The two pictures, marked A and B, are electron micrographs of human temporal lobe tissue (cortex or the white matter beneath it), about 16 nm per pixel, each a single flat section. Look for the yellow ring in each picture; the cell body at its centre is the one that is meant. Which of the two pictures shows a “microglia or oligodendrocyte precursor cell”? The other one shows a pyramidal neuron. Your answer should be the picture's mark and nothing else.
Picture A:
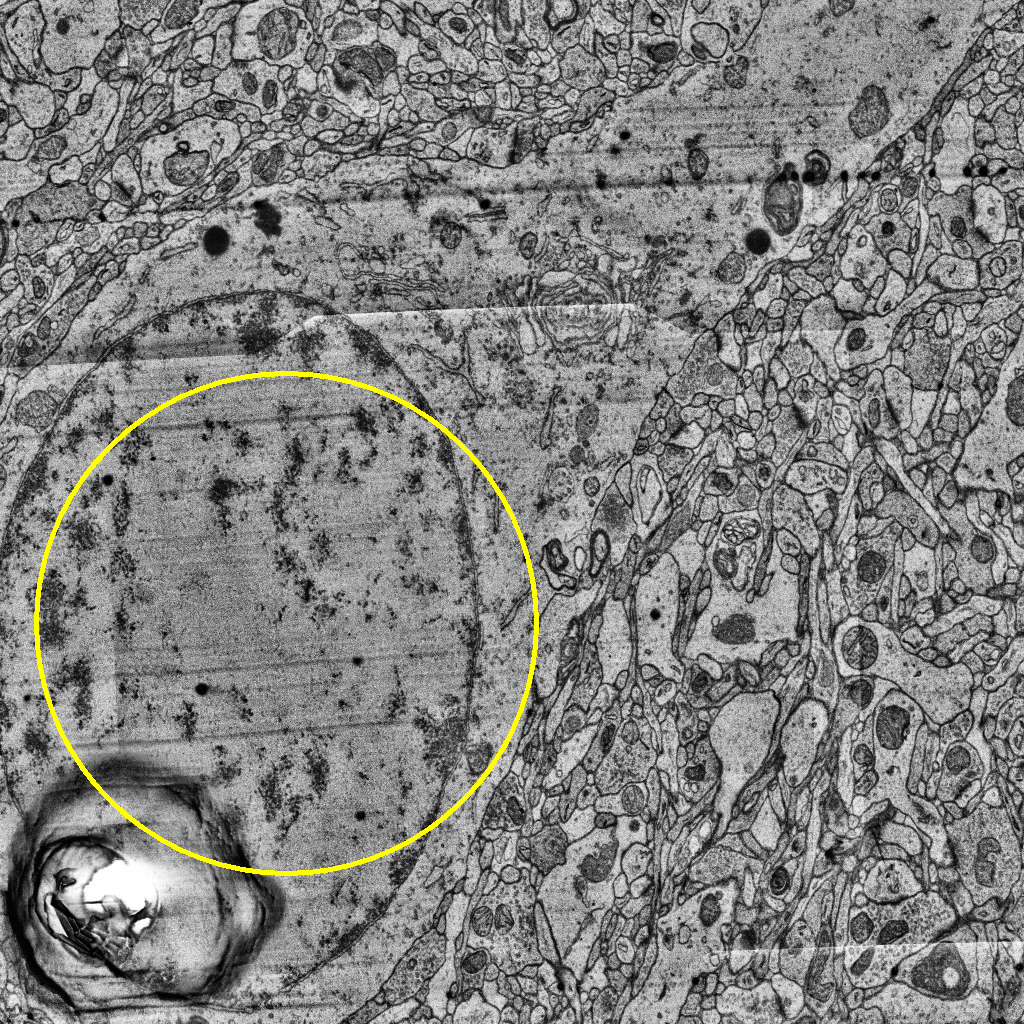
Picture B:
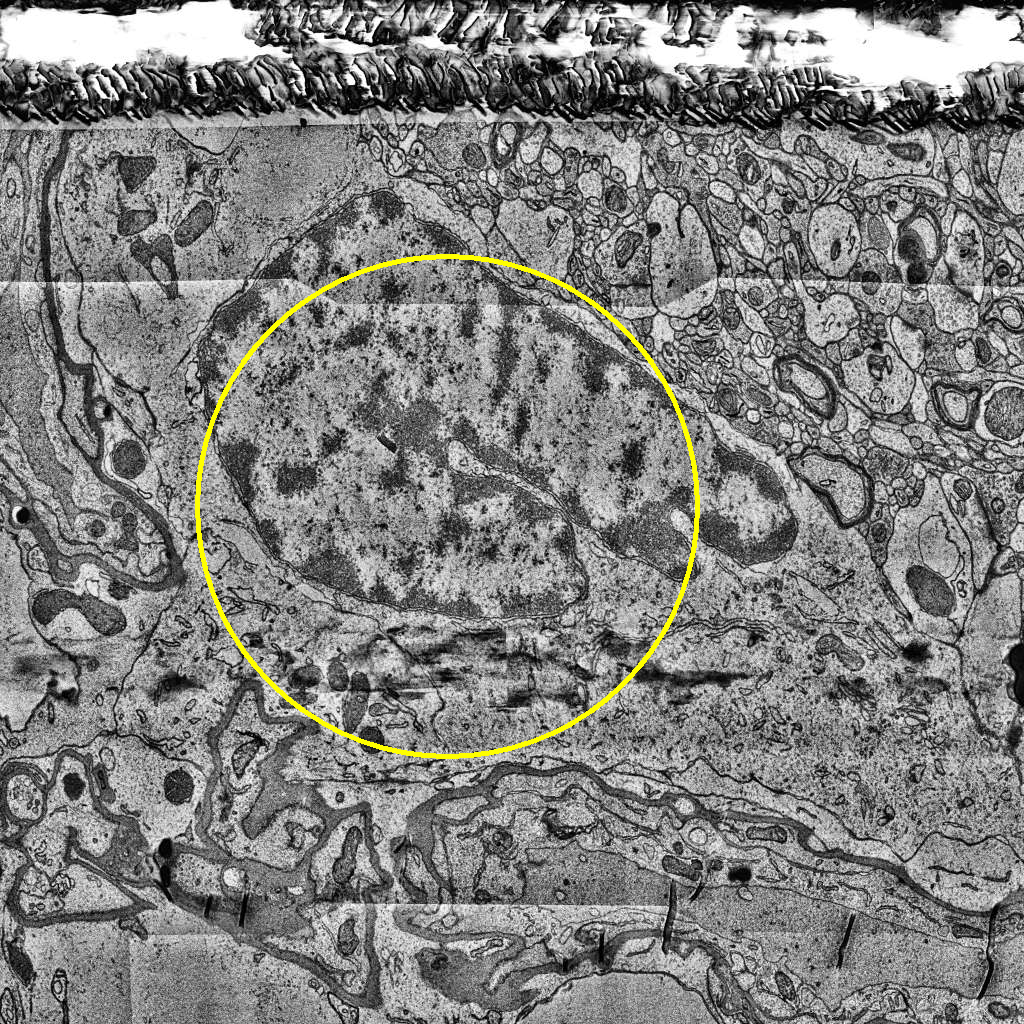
B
